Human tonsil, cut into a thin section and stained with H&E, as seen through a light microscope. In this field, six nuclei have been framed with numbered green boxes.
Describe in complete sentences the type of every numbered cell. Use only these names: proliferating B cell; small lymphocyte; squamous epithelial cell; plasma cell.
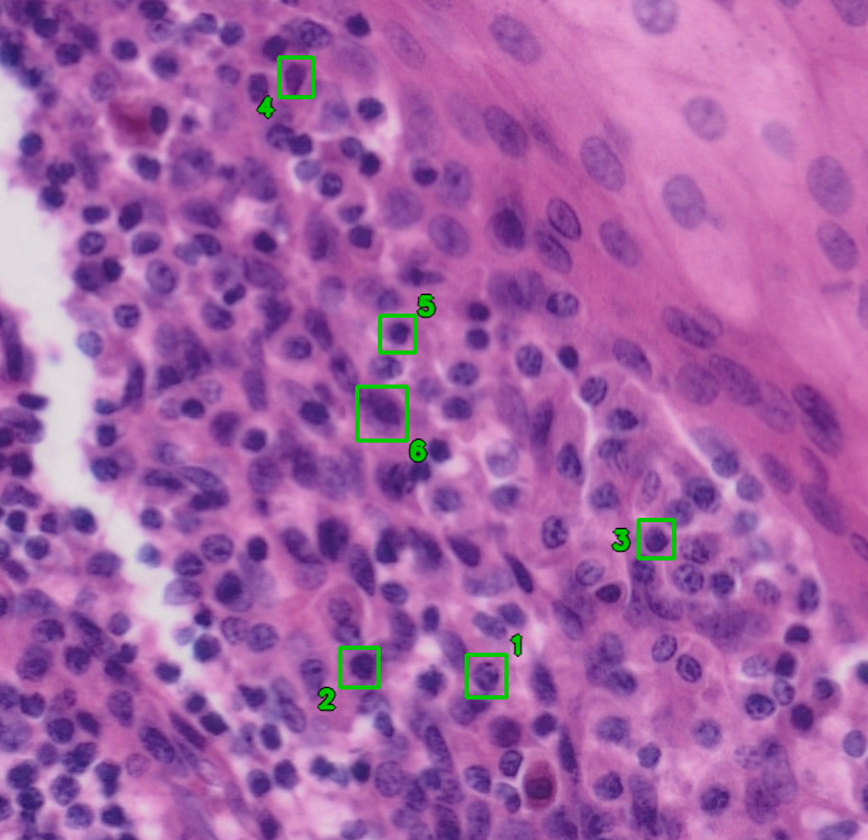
Cell 1 is a plasma cell, cell 2 is a plasma cell, cell 3 is a plasma cell, cell 4 is a squamous epithelial cell, cell 5 is a plasma cell and cell 6 is a squamous epithelial cell.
